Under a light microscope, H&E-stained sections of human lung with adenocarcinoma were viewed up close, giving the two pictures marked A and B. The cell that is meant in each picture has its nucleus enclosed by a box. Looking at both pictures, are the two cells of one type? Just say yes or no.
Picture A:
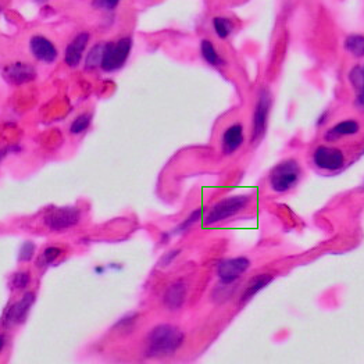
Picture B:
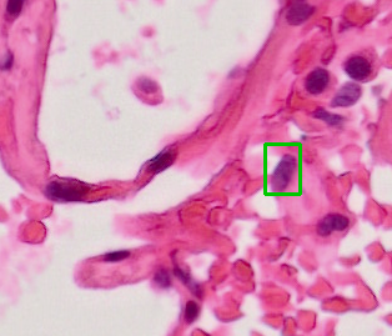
yes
